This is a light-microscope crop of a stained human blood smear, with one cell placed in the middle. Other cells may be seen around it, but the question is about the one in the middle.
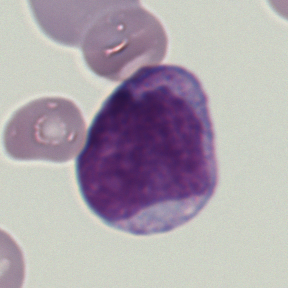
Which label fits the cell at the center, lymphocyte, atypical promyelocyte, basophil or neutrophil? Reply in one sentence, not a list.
Regarding the central cell, it is an atypical promyelocyte.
